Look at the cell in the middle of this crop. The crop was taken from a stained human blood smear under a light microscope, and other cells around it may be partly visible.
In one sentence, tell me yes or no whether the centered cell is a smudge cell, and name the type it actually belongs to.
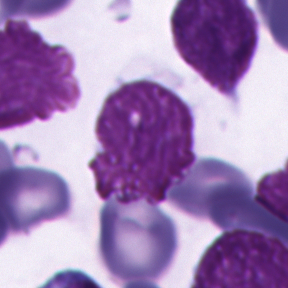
Yes, the middle cell here is a smudge cell.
